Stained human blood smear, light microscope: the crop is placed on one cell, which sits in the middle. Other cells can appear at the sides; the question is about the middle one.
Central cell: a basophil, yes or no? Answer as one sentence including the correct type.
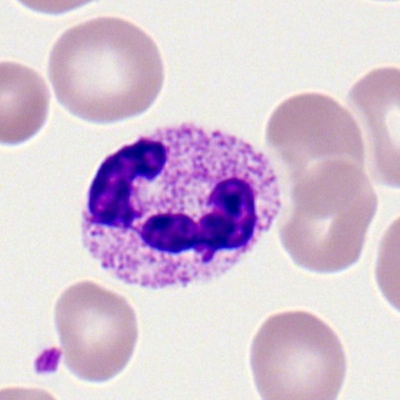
No, the cell in the middle is categorised as a neutrophil, not a basophil.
